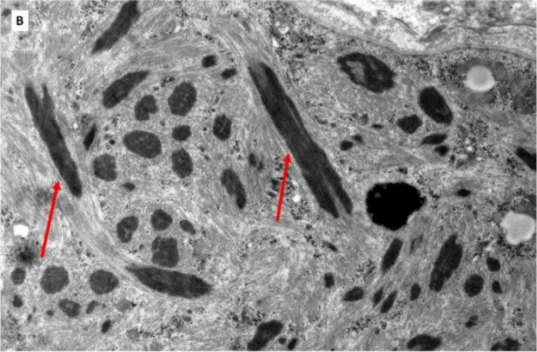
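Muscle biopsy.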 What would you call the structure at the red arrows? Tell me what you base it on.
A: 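Nemaline rods. Elongated, very electron-dense rod-shaped bodies lie among the myofilaments. Many round and oval dense profiles, likely rods cut across, are scattered nearby. The myofibrils around them run in disordered directions.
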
